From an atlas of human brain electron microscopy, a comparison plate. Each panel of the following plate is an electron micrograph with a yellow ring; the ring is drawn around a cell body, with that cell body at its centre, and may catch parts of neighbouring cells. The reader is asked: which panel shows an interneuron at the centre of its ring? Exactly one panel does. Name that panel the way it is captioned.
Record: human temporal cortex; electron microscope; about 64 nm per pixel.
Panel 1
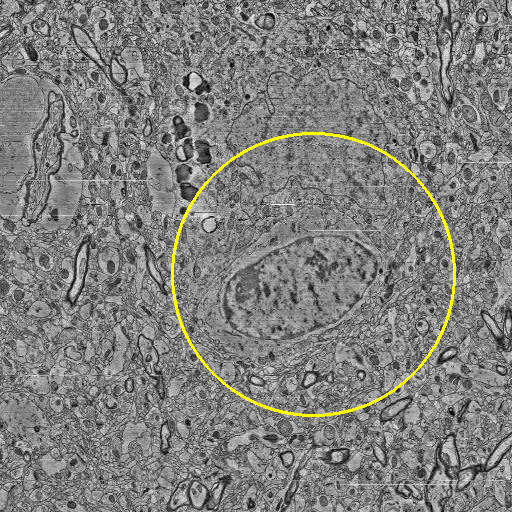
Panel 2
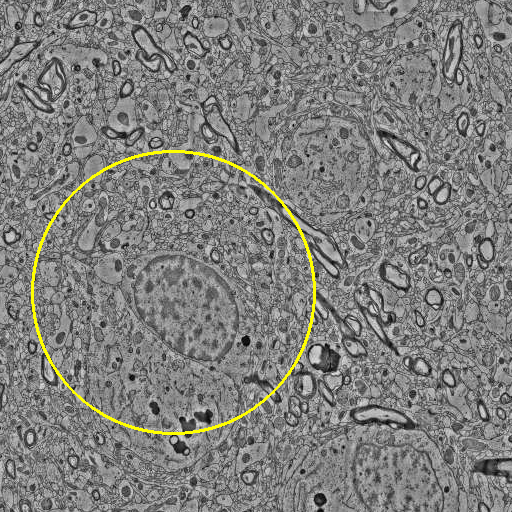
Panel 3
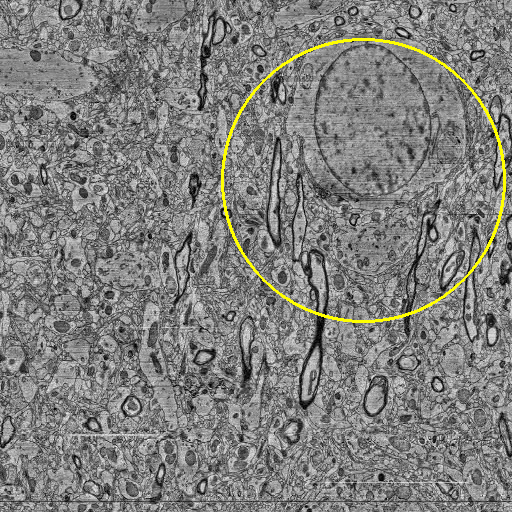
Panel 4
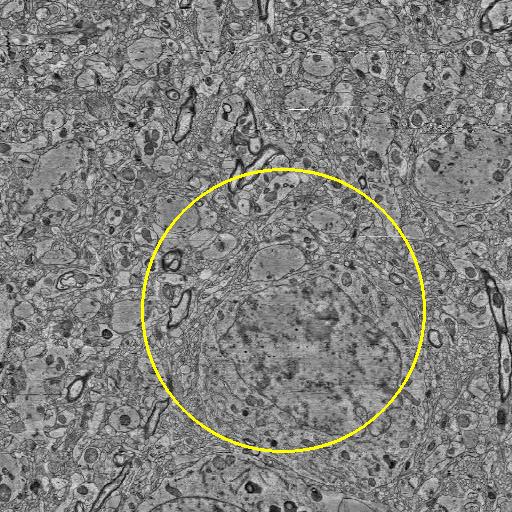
Panel 4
